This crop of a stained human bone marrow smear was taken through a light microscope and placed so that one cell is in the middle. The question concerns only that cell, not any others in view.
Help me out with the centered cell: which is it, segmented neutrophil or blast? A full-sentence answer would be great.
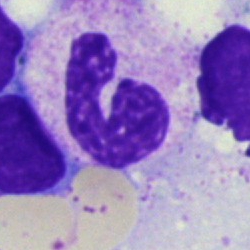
The cell at the middle of the crop is recognized as a segmented neutrophil.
